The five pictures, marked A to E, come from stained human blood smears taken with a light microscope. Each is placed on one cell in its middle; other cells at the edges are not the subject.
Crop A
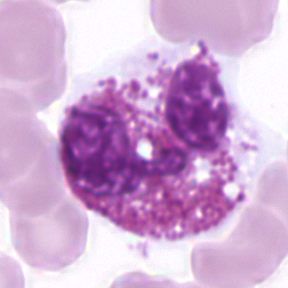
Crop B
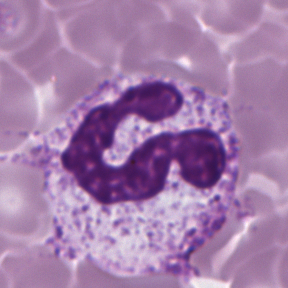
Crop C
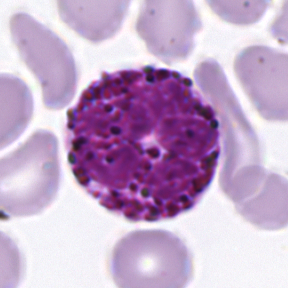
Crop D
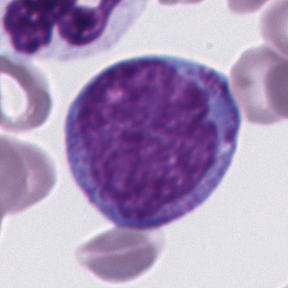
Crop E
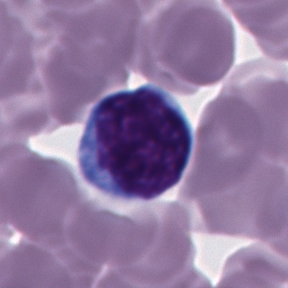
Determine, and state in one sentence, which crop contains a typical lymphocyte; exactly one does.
Crop E is the one in this set that shows a typical lymphocyte.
